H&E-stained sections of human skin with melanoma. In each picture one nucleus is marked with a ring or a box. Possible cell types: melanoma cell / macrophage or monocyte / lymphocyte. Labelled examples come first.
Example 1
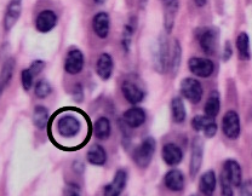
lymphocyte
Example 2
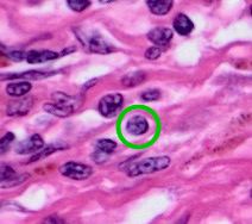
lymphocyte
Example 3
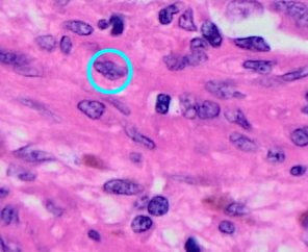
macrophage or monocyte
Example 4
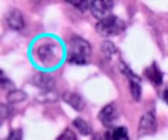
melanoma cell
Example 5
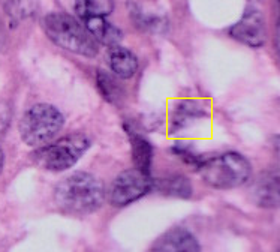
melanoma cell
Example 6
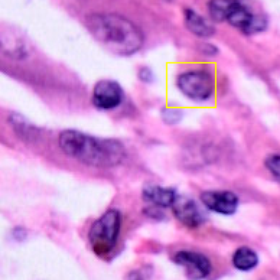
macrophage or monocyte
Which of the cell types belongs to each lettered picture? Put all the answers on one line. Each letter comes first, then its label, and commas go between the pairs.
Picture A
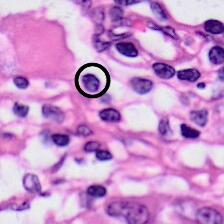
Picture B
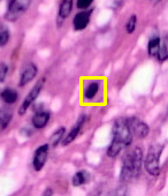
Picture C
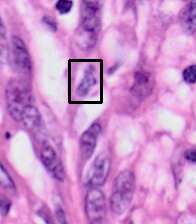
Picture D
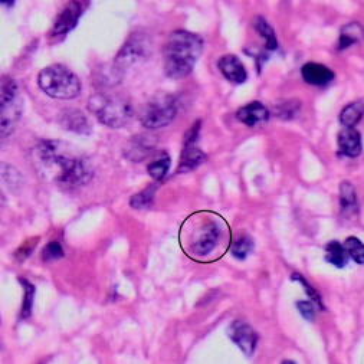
A lymphocyte, B lymphocyte, C melanoma cell, D macrophage or monocyte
